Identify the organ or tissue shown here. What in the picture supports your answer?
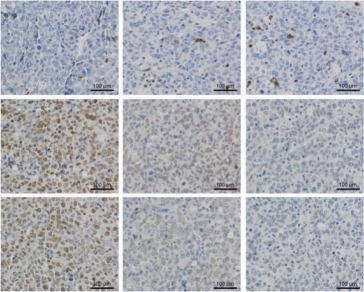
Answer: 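Solid sheets of densely packed cells without organised normal organ architecture. Cells have relatively large, crowded oval nuclei.
Conclusion: tumor nodules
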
